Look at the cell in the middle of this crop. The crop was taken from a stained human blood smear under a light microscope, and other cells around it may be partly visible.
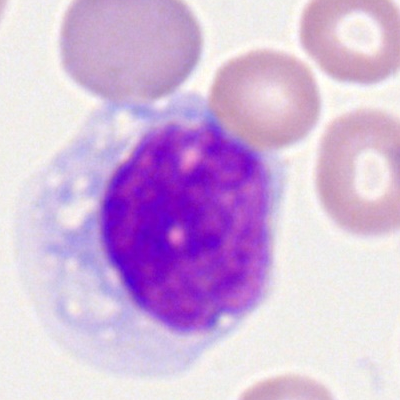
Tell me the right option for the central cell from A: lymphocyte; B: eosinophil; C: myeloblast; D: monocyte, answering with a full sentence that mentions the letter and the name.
Option D is the right choice, the central cell being a monocyte.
